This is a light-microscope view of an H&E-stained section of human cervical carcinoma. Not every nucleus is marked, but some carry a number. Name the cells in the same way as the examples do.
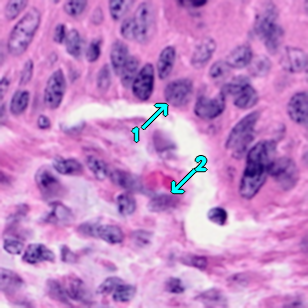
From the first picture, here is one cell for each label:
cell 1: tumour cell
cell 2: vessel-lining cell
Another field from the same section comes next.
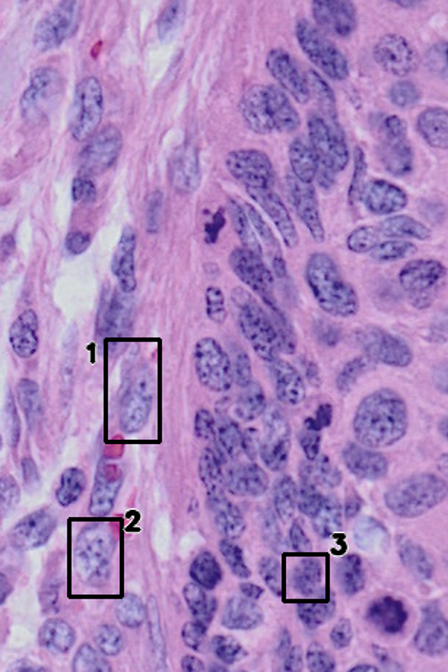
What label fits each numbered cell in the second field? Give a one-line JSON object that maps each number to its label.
{"1": "vessel-lining cell", "2": "vessel-lining cell", "3": "tumour cell"}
